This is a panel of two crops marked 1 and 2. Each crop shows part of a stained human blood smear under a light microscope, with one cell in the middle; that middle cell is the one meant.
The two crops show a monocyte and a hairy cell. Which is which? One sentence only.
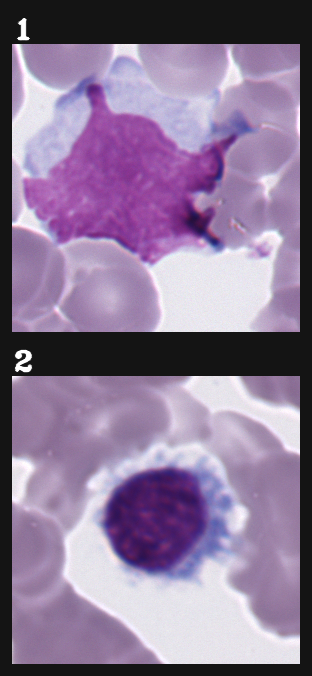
Crop 1 is a monocyte, whereas a hairy cell is found in crop 2.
